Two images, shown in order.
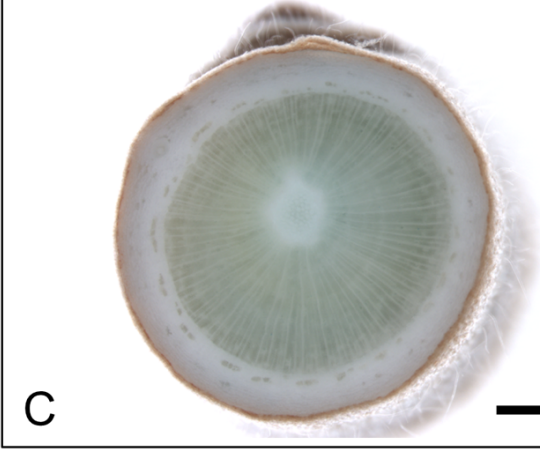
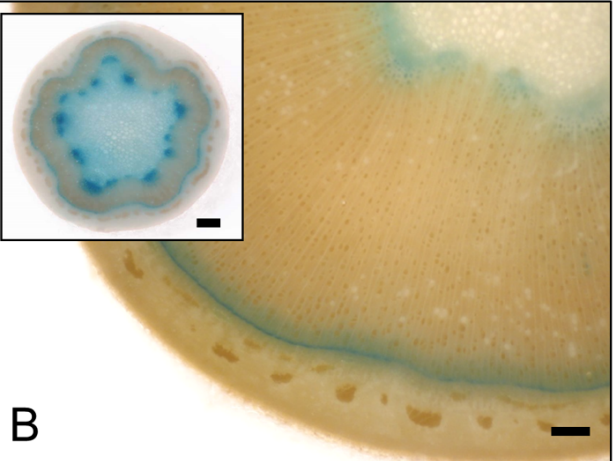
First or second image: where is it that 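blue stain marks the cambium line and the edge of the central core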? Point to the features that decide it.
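Second image: blue stain lines the cambium near the bark and borders the central core.
The second image.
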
